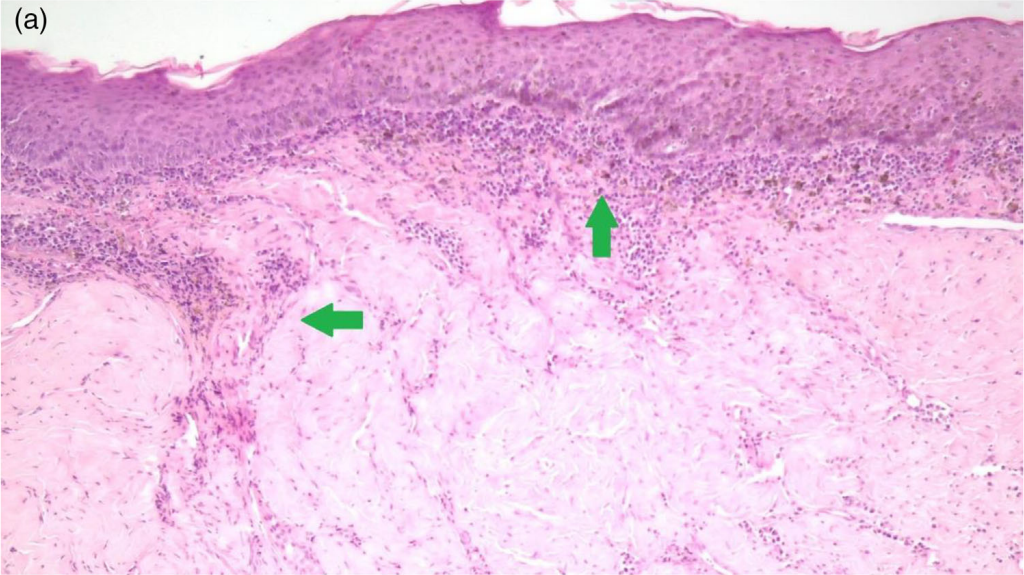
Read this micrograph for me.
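This is skin with a stratified squamous epidermis above a dermis that carries a dense band of small, dark, round inflammatory cells lying just beneath the epidermis and extending down along deeper structures. Scattered brown pigment granules are present in the lower epidermis and upper dermis, and the dermis below the band is pale and loosely textured, with its collagen fibres spread apart.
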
